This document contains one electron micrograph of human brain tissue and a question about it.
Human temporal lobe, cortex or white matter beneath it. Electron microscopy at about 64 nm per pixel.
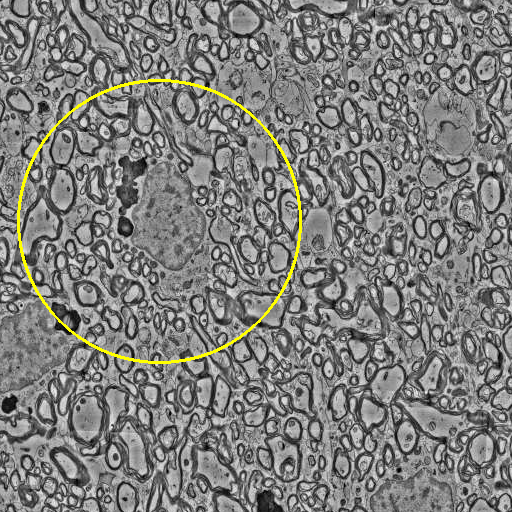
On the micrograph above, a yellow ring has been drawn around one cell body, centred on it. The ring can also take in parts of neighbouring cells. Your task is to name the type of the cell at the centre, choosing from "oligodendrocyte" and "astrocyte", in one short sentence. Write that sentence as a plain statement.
Here the ring is centred on an oligodendrocyte.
